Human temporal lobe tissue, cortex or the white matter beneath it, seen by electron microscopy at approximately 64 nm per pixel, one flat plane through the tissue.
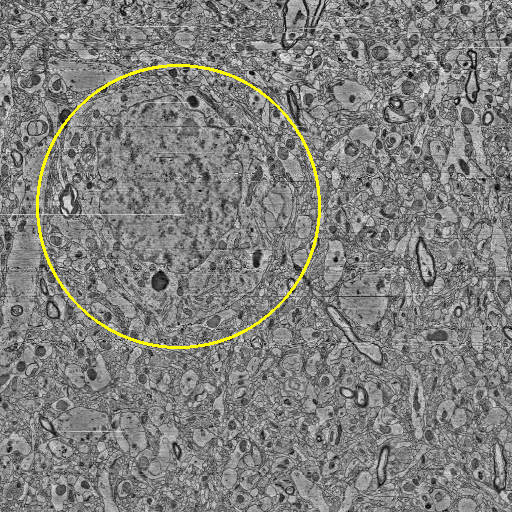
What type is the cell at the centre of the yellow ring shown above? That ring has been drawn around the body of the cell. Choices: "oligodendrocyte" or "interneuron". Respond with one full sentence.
My answer is that an interneuron lies at the centre of the yellow ring above.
